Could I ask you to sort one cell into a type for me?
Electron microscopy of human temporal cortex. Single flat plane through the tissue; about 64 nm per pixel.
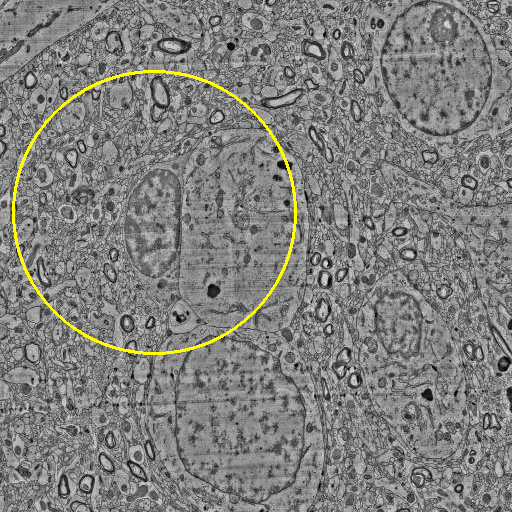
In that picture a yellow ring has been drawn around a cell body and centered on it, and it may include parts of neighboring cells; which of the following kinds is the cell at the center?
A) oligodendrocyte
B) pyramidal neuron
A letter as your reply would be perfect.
A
